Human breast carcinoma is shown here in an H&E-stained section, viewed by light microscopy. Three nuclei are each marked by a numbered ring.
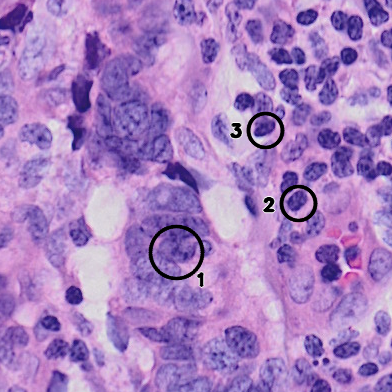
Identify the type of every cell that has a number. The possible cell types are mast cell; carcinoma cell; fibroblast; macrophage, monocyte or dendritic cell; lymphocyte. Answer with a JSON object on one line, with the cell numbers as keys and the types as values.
{"1": "carcinoma cell", "2": "lymphocyte", "3": "lymphocyte"}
